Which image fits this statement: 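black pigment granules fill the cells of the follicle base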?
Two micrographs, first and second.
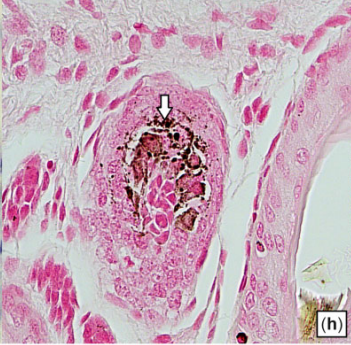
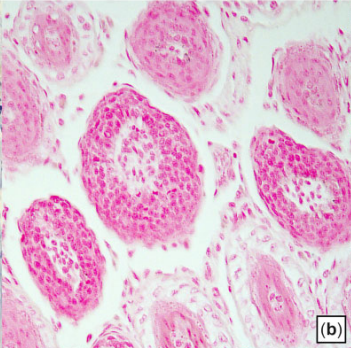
The first image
